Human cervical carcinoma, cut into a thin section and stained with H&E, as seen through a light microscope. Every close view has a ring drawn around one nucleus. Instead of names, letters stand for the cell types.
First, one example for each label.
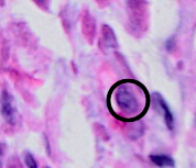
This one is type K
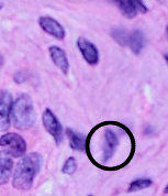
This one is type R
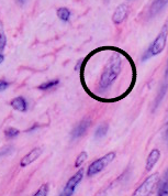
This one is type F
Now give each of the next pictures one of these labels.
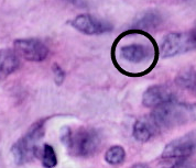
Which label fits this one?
type R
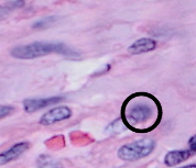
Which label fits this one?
type K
